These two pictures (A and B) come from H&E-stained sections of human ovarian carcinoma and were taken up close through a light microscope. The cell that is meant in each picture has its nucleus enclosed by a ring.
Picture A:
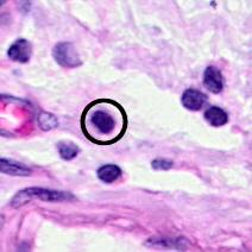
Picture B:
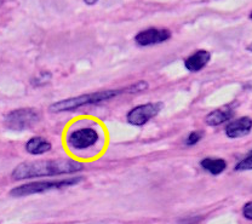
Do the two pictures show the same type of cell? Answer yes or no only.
yes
